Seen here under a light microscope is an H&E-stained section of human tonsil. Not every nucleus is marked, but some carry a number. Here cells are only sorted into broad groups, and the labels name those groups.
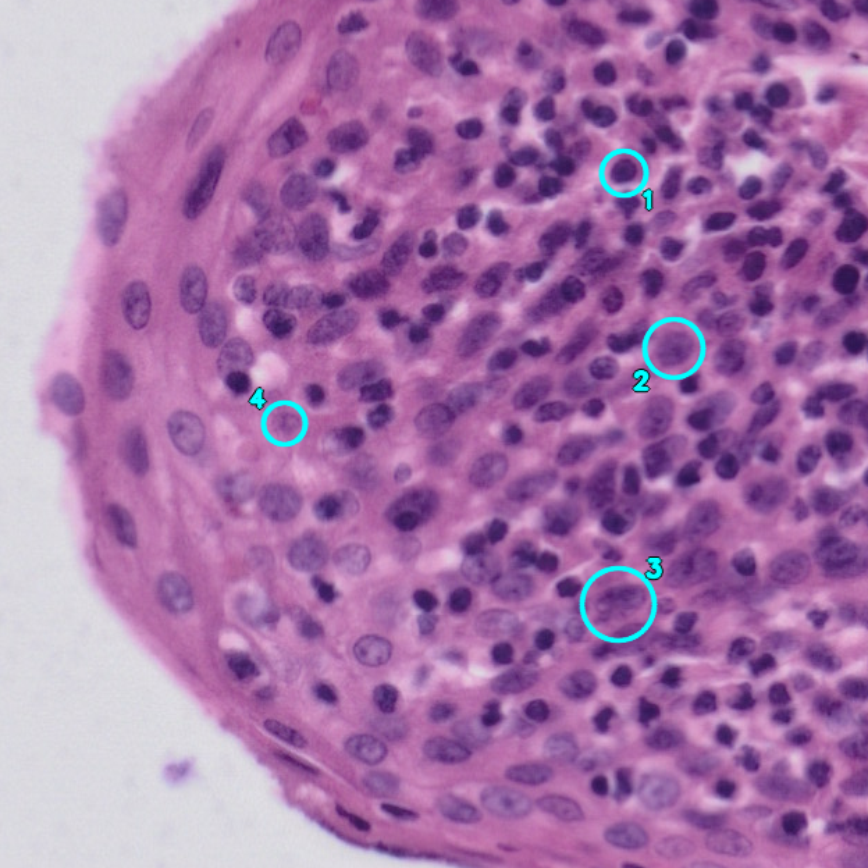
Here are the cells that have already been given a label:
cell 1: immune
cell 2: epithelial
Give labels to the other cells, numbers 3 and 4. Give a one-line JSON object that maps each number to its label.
{"3": "epithelial", "4": "epithelial"}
